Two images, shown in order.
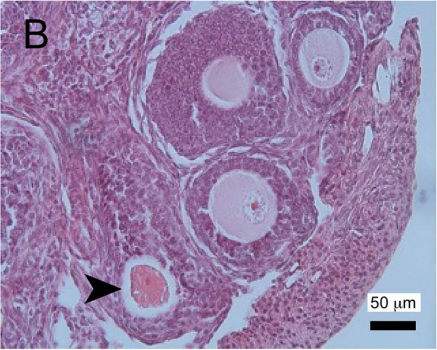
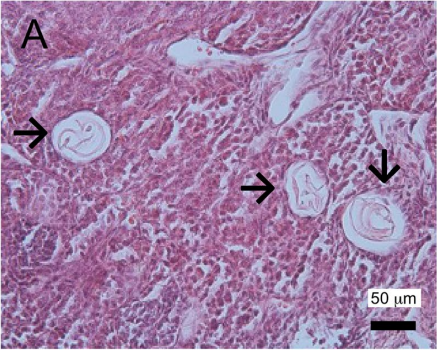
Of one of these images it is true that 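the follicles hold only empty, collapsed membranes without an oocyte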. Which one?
The second image.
